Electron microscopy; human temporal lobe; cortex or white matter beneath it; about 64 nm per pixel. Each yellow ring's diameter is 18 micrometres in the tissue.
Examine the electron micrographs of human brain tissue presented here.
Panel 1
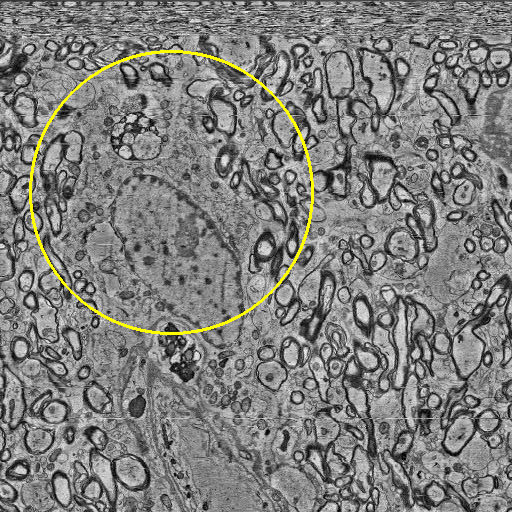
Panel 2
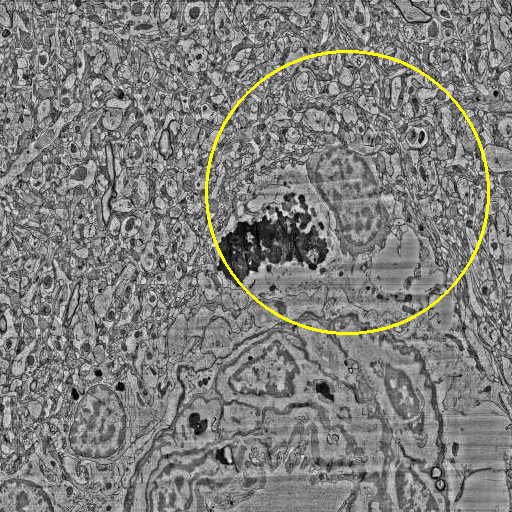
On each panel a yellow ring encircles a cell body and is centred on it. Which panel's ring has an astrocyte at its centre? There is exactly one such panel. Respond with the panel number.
1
